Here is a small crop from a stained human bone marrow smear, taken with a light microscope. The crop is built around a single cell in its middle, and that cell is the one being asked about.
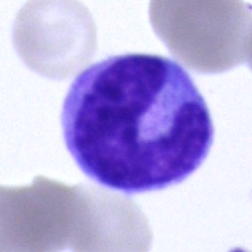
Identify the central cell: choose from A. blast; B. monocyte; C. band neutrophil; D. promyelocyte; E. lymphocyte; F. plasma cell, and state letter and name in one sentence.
The middle cell of the crop is a monocyte; accordingly, option B is correct.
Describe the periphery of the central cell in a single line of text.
Around its whole circumference the outline stays smooth, free of projections.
